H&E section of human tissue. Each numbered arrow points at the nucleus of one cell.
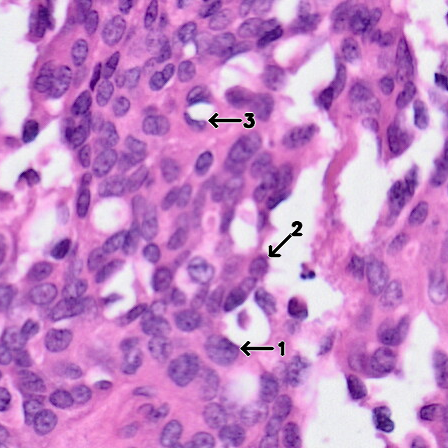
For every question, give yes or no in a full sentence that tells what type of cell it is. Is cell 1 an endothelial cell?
No, the cell given the number 1 is a carcinoma cell, so not an endothelial cell.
